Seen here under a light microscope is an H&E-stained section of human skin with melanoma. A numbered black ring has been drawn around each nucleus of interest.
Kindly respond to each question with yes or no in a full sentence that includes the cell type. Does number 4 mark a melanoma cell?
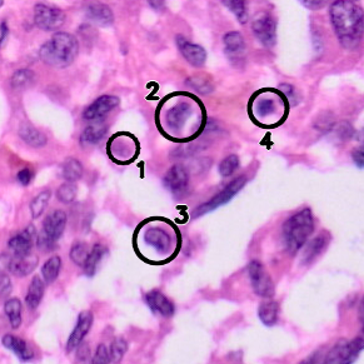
No, the cell labelled 4 is a lymphocyte and not a melanoma cell.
